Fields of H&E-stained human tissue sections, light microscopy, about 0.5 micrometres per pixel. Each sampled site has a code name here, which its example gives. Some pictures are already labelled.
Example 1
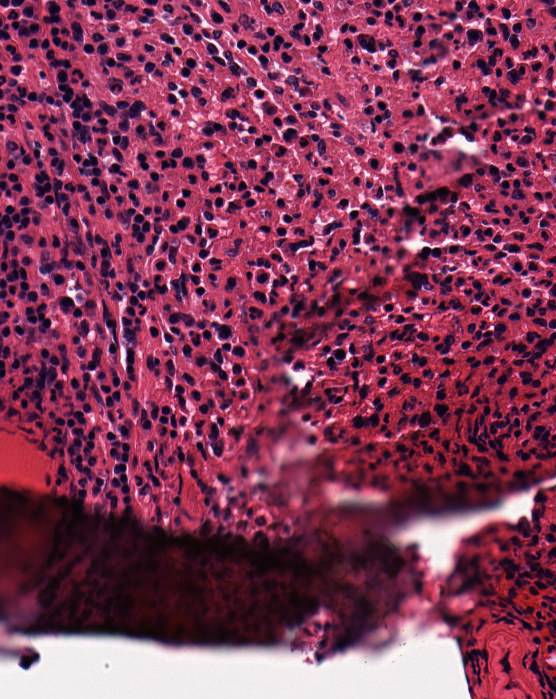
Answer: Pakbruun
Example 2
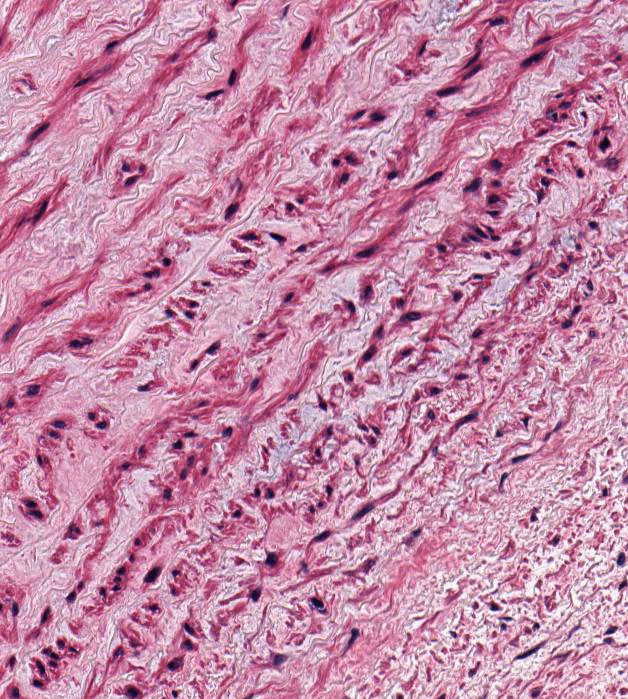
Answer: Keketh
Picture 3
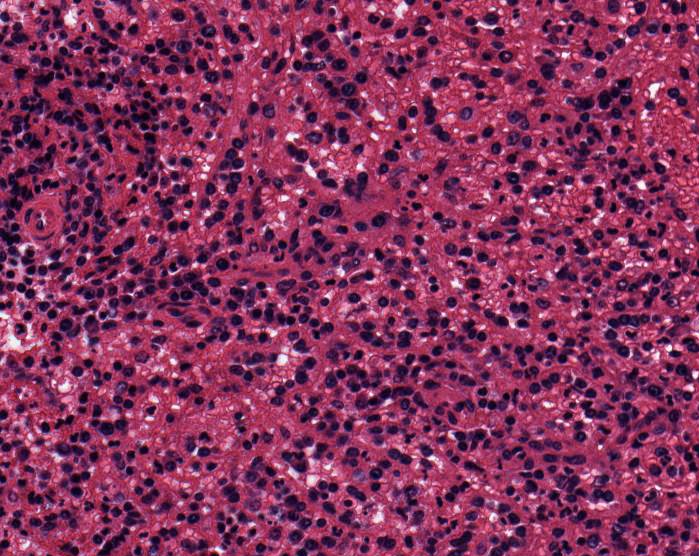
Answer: Pakbruun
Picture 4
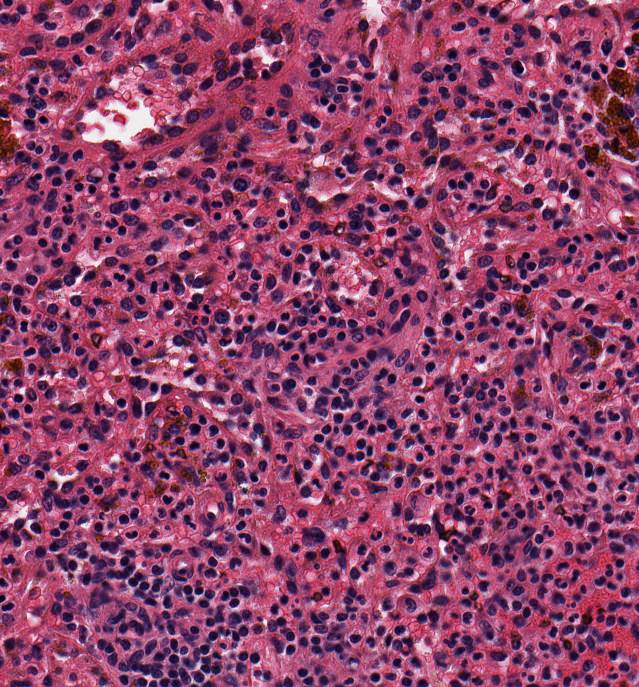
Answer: Pakbruun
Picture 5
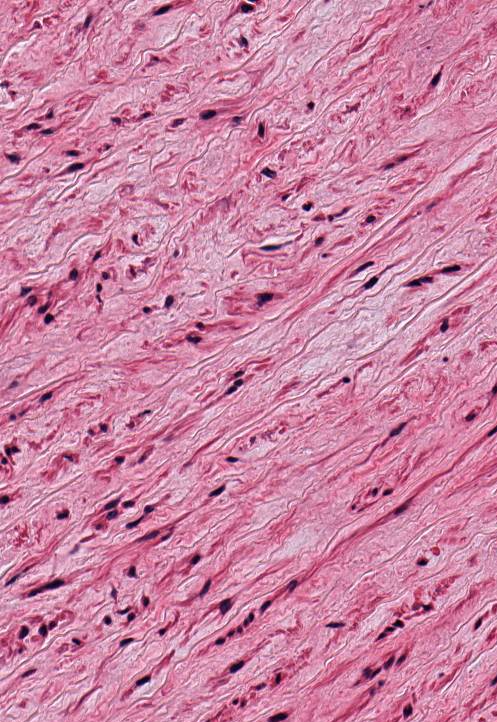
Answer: Keketh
